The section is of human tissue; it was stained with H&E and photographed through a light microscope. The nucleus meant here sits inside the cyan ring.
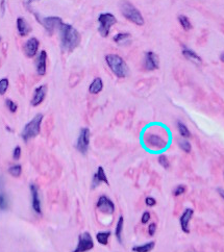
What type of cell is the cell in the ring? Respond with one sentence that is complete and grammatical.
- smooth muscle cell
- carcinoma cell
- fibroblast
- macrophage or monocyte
On this particular slide, the cell in the ring is a smooth muscle cell.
